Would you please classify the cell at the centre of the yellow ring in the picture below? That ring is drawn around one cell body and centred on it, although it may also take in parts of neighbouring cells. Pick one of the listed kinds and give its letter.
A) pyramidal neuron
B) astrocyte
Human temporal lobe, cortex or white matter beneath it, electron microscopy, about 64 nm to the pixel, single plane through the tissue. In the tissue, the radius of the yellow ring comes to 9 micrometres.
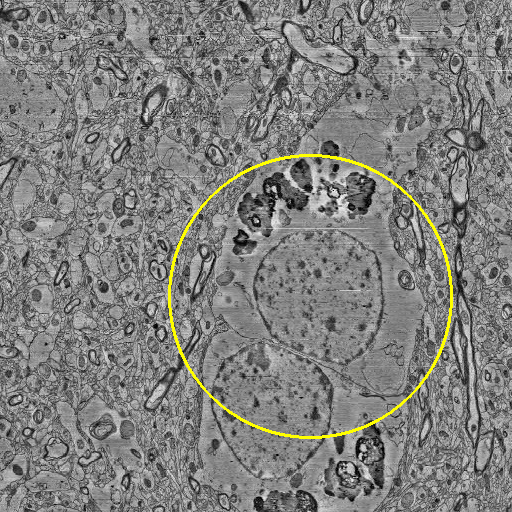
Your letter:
B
